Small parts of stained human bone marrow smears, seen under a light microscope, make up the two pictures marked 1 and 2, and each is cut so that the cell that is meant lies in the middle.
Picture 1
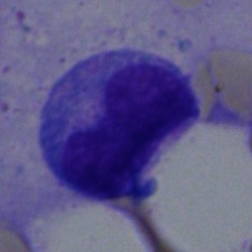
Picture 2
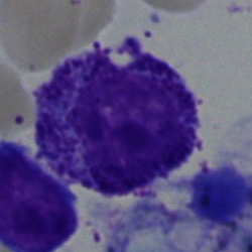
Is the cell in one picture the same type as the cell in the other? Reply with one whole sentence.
No; the cell in picture 1 is a monocyte, while the one in picture 2 is a myelocyte.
